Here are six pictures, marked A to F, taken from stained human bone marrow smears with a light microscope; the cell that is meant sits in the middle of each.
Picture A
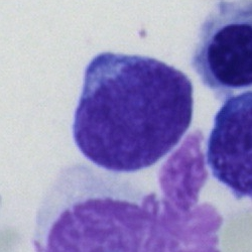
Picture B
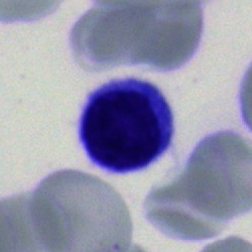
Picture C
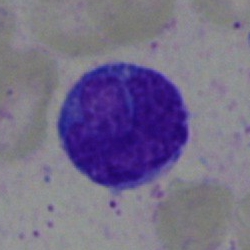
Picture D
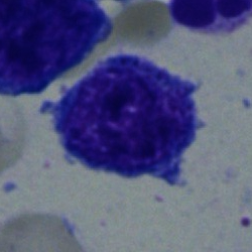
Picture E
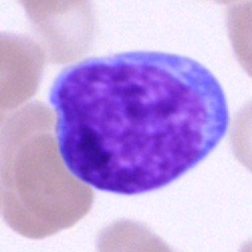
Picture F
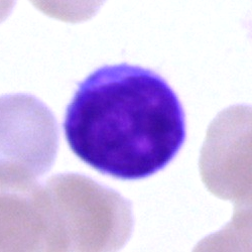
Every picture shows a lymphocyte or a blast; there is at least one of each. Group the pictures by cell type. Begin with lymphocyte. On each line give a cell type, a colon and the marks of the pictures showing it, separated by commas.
lymphocyte: B, F
blast: A, C, D, E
